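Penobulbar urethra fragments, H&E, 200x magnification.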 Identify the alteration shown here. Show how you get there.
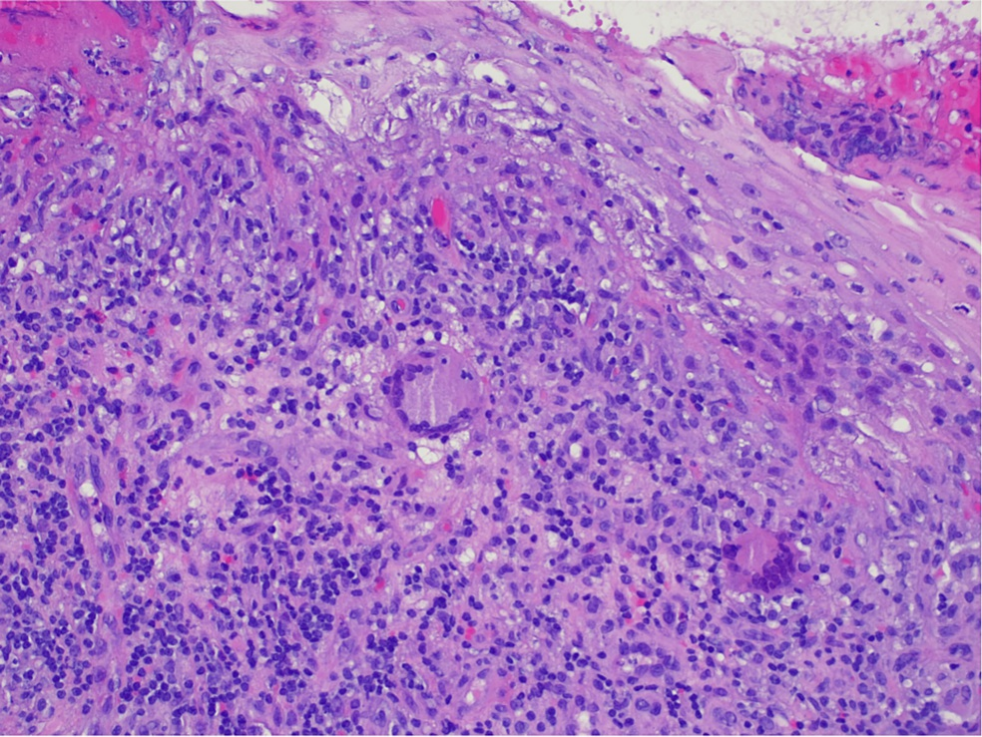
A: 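Dense sheets of small round cells with dark, round nuclei fill most of the field. Cells with larger, paler, oval nuclei and pink cytoplasm are mixed among the small dark cells.
Conclusion: lymphohistiocytic inflammatory cell infiltrate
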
